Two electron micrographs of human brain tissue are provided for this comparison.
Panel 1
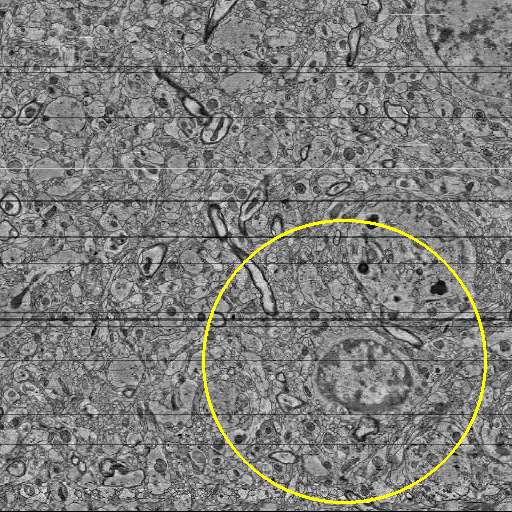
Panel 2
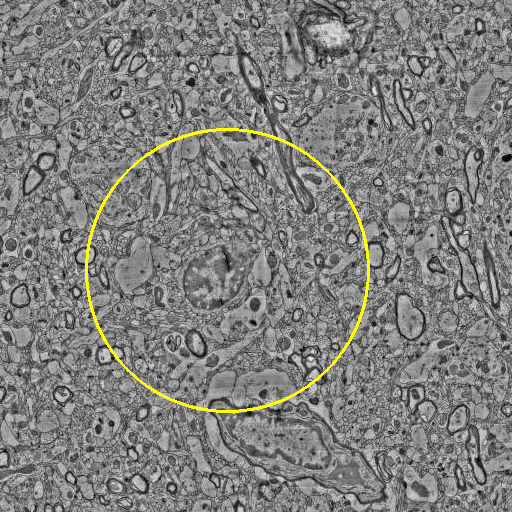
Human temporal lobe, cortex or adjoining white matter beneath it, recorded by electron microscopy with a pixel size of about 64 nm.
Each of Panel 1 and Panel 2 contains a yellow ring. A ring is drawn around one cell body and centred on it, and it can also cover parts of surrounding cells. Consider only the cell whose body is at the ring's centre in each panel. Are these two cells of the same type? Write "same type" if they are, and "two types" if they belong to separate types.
same type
